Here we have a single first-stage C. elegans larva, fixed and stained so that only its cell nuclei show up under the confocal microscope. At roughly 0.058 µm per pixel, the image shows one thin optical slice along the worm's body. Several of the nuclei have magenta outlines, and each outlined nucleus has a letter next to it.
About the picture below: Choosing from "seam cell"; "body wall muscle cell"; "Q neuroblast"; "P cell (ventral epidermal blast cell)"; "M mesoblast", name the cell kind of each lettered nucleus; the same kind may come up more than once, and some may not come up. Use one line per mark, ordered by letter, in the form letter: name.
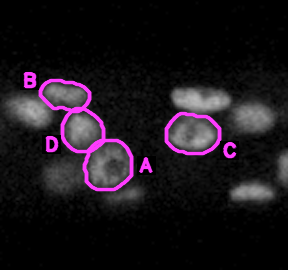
A: M mesoblast
B: body wall muscle cell
C: seam cell
D: Q neuroblast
